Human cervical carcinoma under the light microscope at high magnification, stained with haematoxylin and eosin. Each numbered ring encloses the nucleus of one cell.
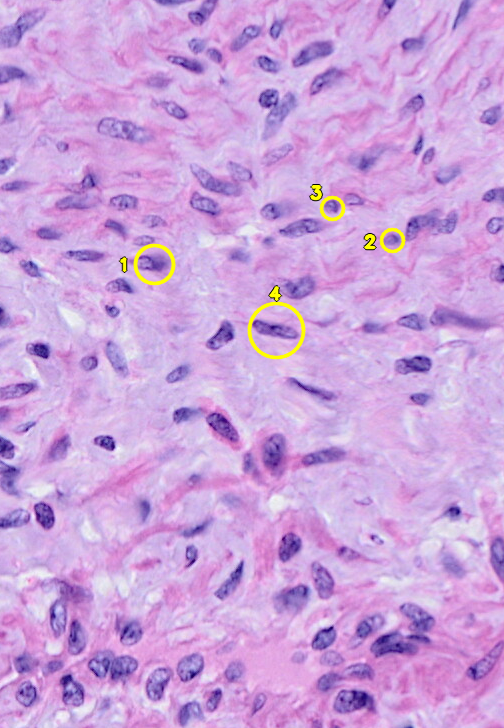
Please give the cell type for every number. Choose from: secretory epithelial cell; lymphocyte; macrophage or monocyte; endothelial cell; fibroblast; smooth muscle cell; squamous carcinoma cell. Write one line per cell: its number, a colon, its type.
1: smooth muscle cell
2: smooth muscle cell
3: smooth muscle cell
4: fibroblast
